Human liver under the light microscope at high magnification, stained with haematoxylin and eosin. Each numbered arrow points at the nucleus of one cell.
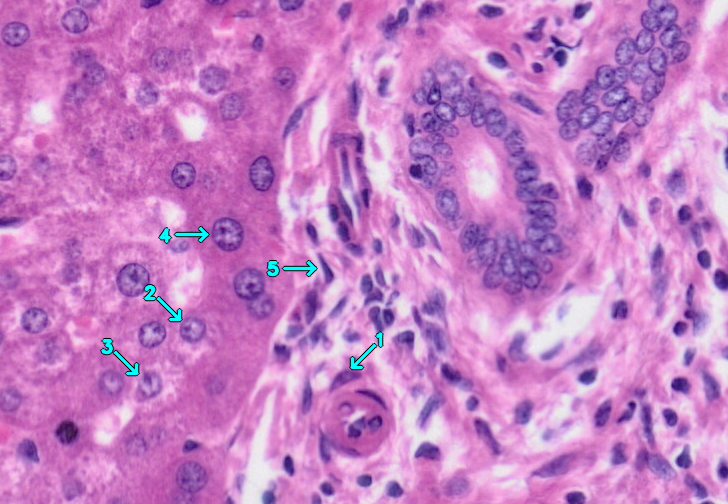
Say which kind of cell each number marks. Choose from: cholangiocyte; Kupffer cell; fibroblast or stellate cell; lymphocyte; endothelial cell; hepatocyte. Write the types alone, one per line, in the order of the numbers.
fibroblast or stellate cell
hepatocyte
hepatocyte
hepatocyte
fibroblast or stellate cell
